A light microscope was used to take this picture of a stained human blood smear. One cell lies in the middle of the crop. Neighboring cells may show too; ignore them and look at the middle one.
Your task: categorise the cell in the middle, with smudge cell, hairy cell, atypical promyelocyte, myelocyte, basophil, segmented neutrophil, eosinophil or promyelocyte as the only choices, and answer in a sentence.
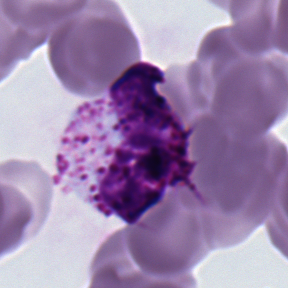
This crop has a basophil at its centre.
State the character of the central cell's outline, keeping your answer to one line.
The cell is bounded by a ragged or projection-bearing margin rather than a smooth one.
